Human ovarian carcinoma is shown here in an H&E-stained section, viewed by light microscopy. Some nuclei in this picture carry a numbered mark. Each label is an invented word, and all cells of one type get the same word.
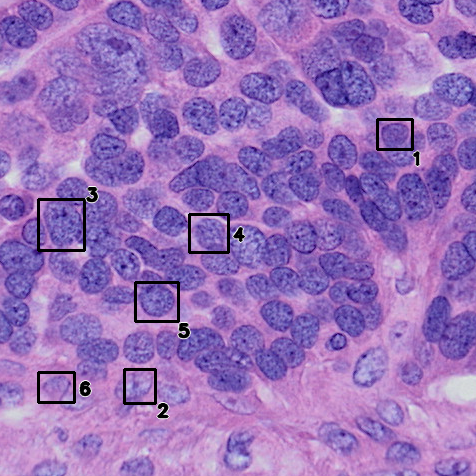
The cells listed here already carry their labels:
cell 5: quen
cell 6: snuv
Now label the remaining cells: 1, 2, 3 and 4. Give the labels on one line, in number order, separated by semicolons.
quen; snuv; quen; quen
